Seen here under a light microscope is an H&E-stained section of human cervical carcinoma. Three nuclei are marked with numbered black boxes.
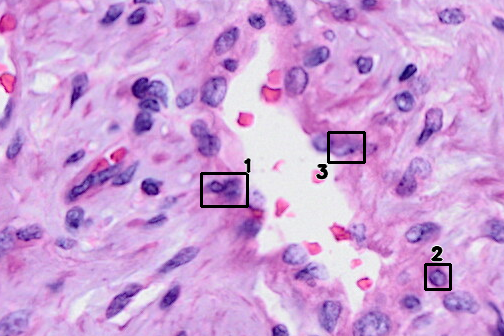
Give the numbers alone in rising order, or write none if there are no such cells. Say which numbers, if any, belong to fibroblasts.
none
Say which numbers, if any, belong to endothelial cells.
1, 3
